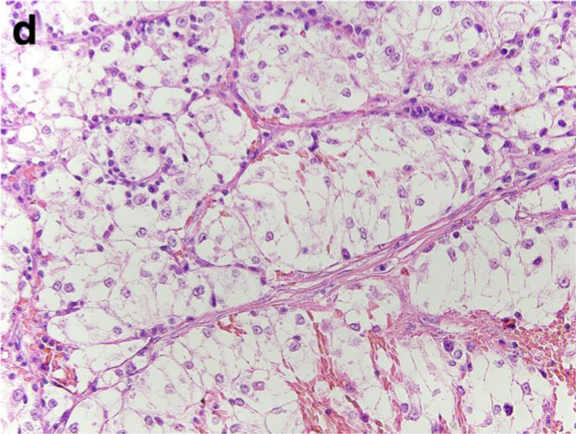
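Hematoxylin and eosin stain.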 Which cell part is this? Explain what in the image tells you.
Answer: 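Most cells have largely empty-looking, pale cytoplasm. Some cells show faintly pink, finely granular cytoplasm.
Hence: clear to focally granular eosinophilic cytoplasm.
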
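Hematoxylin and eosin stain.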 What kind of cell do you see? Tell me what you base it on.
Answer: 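Large polygonal cells with abundant pale cytoplasm fill the field. The cells lie in nests bounded by thin fibrovascular septa. Nuclei are round to oval and centrally placed. The answer: epithelioid tumor cells.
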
